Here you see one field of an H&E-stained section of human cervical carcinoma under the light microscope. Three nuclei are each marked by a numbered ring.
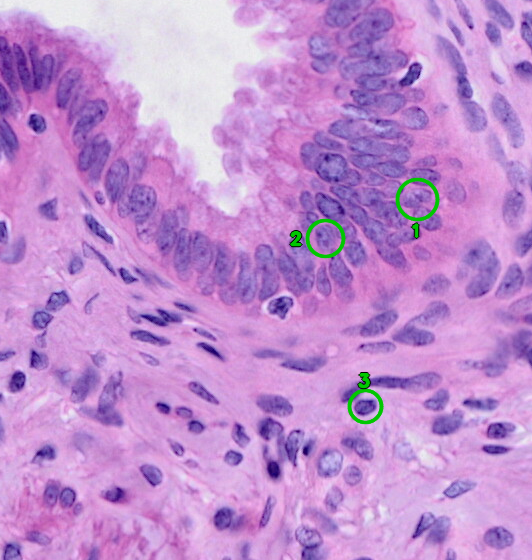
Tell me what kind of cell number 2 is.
secretory epithelial cell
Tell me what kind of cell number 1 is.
secretory epithelial cell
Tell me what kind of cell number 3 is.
fibroblast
